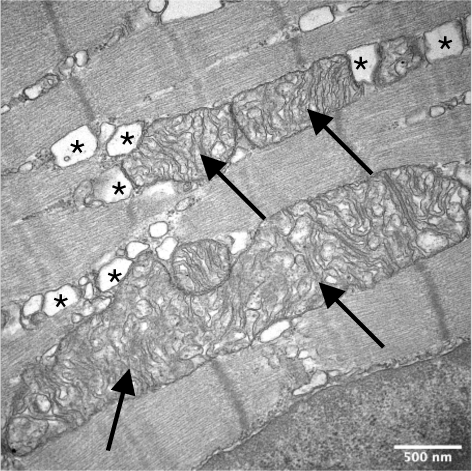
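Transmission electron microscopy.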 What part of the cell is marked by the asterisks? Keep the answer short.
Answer: Sarcoplasmic reticulum membranes.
